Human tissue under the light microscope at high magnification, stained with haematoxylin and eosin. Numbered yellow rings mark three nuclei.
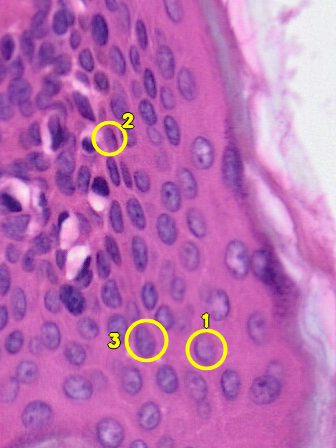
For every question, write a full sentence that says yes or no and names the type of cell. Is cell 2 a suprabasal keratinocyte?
No, the right label for cell 2 is a basal keratinocyte rather than a suprabasal keratinocyte.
